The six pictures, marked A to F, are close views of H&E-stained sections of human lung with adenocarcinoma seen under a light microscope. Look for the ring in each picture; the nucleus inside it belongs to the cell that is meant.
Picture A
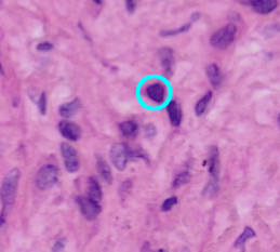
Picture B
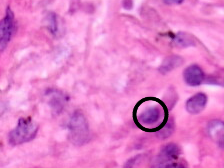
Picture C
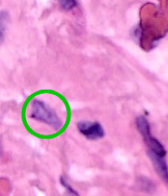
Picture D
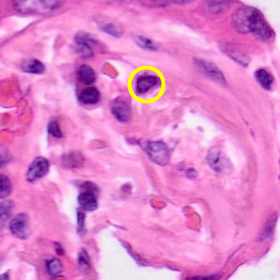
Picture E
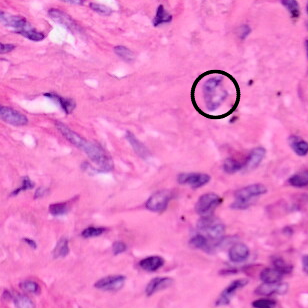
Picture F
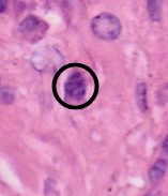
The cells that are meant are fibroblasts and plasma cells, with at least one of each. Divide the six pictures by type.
A: plasma cell
B: plasma cell
C: fibroblast
D: plasma cell
E: fibroblast
F: plasma cell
